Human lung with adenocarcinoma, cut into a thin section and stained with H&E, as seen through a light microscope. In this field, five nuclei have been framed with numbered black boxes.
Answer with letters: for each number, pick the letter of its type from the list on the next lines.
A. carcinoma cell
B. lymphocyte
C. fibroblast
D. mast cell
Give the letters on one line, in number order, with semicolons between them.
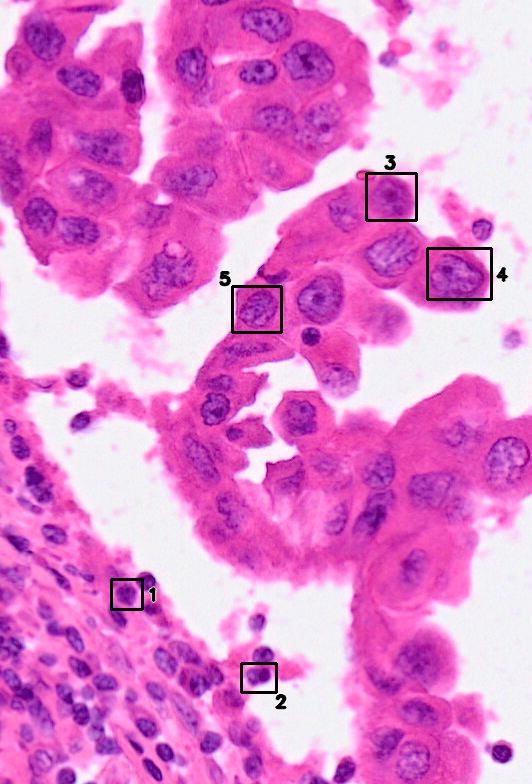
B; B; A; A; A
